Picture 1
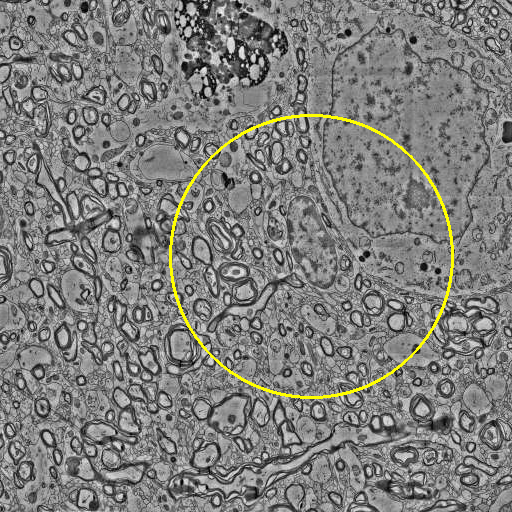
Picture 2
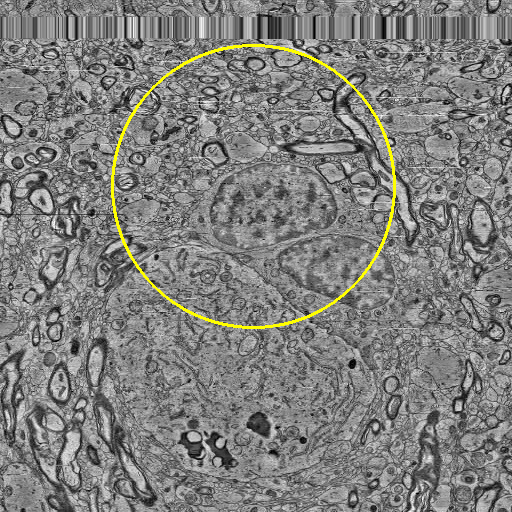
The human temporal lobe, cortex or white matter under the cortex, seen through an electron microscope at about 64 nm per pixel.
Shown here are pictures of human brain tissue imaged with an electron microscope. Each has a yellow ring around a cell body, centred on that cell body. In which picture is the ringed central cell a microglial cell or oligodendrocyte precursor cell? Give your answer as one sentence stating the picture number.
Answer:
My answer is picture 1, where the ringed cell at the centre is the one sought.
